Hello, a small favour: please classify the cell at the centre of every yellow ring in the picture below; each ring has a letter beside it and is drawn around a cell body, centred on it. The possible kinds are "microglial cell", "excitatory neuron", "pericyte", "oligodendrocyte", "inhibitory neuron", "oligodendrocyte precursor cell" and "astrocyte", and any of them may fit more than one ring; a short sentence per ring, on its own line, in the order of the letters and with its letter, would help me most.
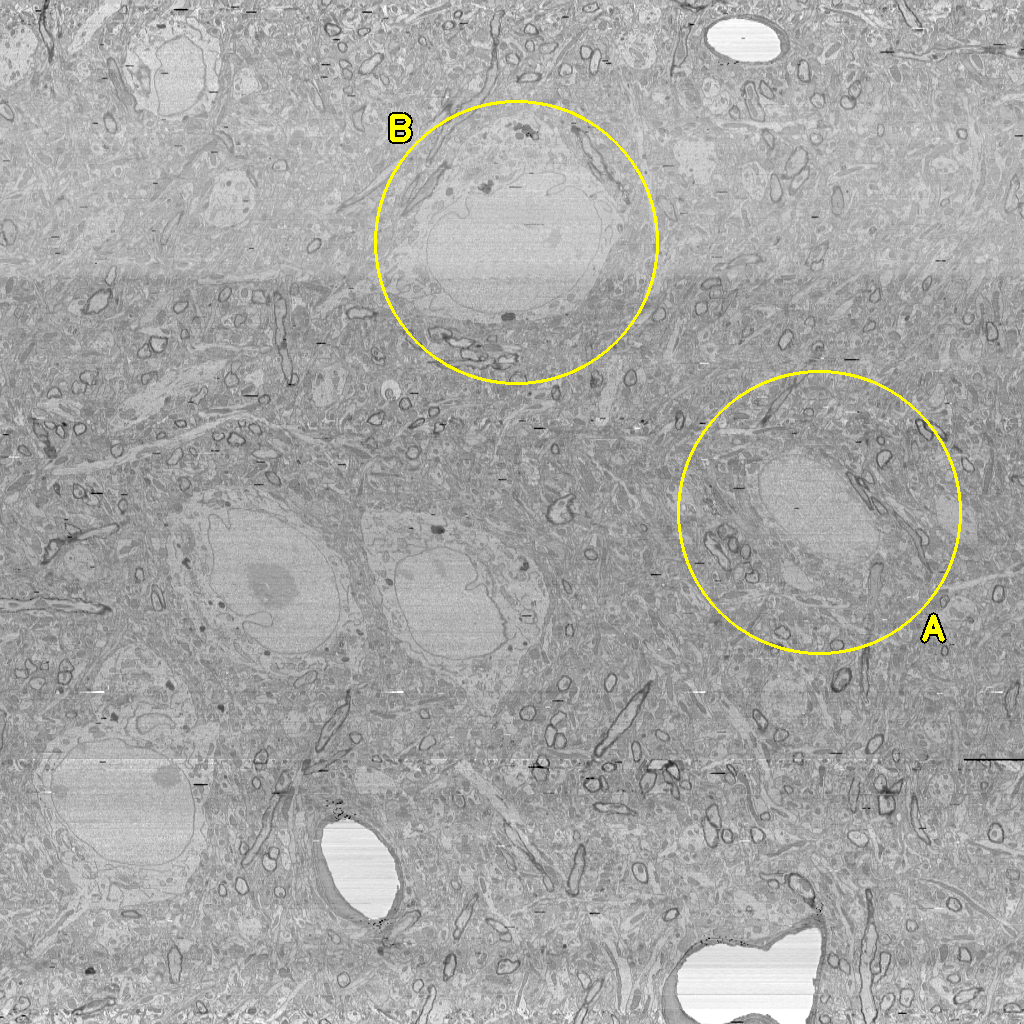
The centre of ring A falls on an astrocyte.
The centre of ring B falls on an excitatory neuron.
